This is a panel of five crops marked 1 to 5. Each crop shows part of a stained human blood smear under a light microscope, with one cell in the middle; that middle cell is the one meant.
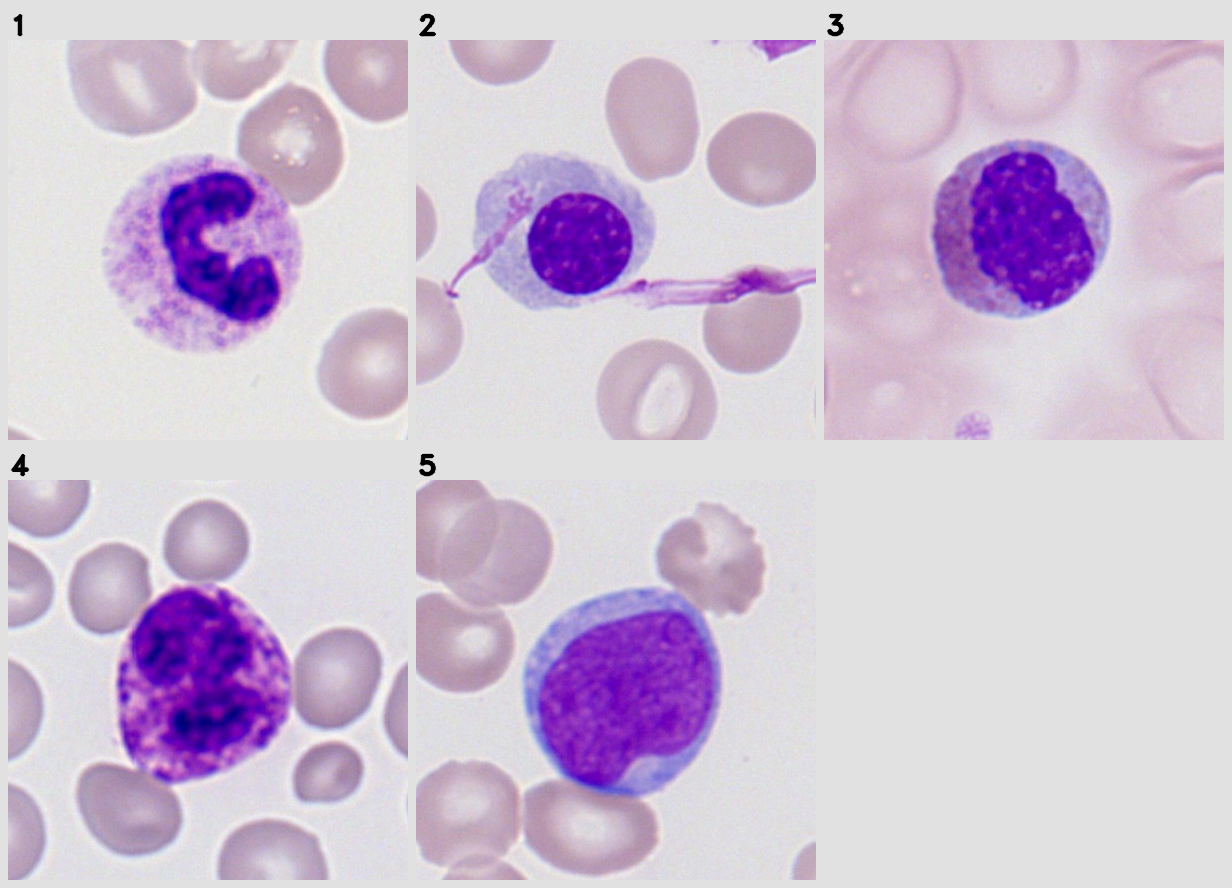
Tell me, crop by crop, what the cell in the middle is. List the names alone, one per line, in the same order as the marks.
band neutrophil
erythroblast
eosinophil
basophil
myeloblast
